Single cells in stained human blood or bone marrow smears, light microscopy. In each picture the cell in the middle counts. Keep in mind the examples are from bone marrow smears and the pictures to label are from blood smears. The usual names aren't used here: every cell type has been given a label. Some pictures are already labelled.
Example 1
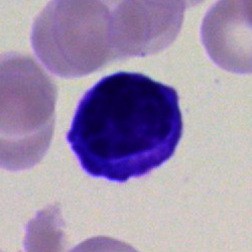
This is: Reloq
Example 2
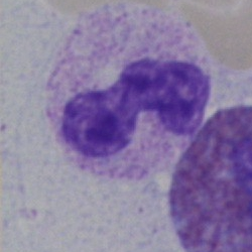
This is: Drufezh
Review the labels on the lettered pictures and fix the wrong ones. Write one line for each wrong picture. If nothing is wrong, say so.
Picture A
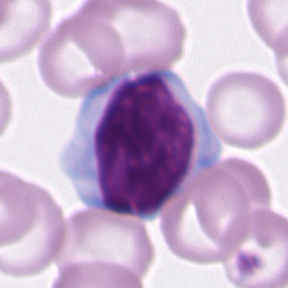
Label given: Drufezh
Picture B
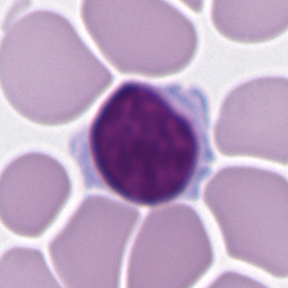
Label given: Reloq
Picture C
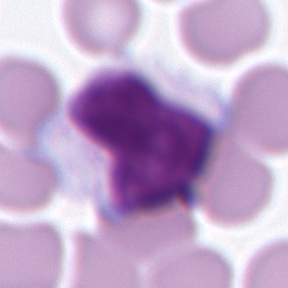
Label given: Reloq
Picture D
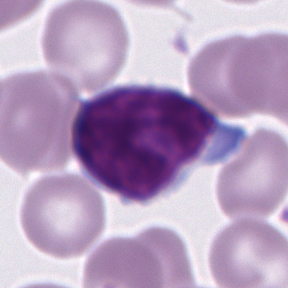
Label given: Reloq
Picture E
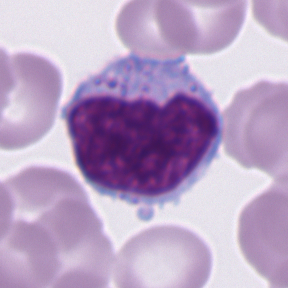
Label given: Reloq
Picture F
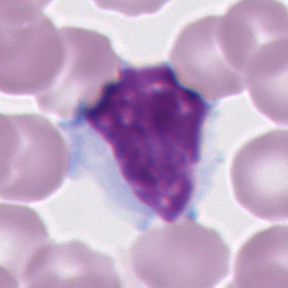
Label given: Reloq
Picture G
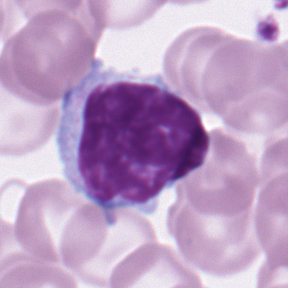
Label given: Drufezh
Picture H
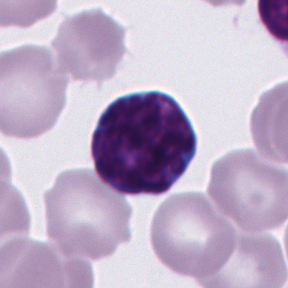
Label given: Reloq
Wrong: A (Drufezh); correct: Reloq
Wrong: G (Drufezh); correct: Reloq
